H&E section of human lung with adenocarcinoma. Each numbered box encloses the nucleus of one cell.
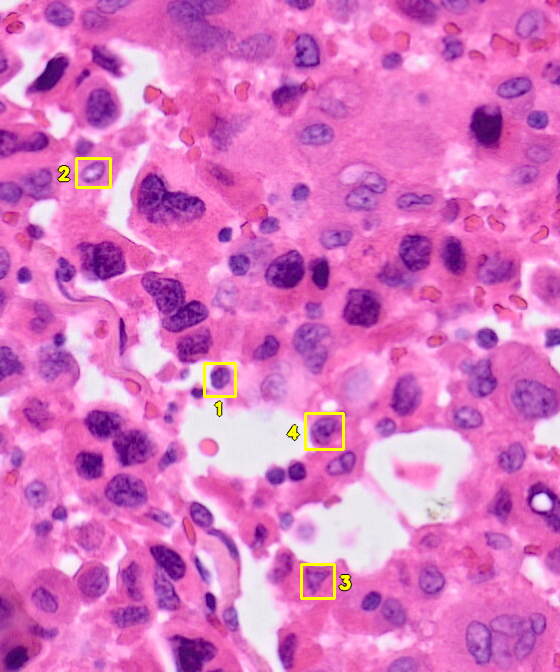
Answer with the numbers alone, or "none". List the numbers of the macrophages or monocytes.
2, 3, 4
